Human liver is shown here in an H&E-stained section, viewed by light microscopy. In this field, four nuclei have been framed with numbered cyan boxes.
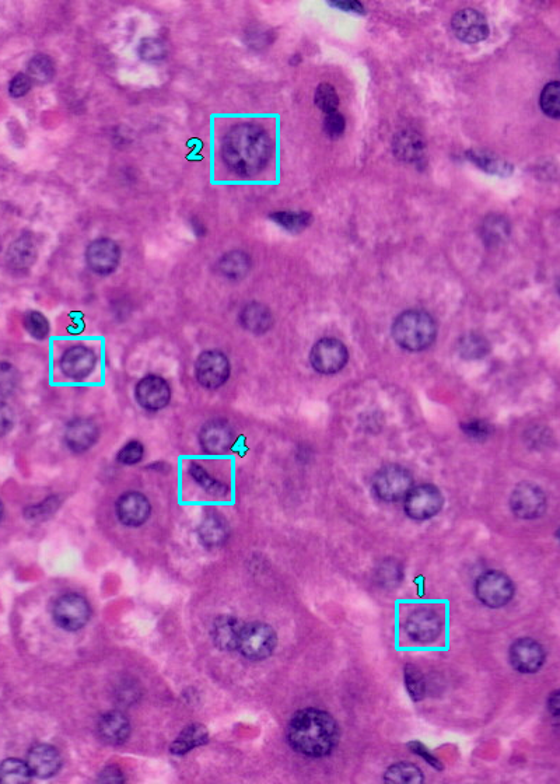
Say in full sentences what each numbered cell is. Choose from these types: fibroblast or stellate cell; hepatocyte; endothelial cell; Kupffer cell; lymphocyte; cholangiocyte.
Cells 1, 2 and 3 are hepatocytes. Cell 4 is a fibroblast or stellate cell.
